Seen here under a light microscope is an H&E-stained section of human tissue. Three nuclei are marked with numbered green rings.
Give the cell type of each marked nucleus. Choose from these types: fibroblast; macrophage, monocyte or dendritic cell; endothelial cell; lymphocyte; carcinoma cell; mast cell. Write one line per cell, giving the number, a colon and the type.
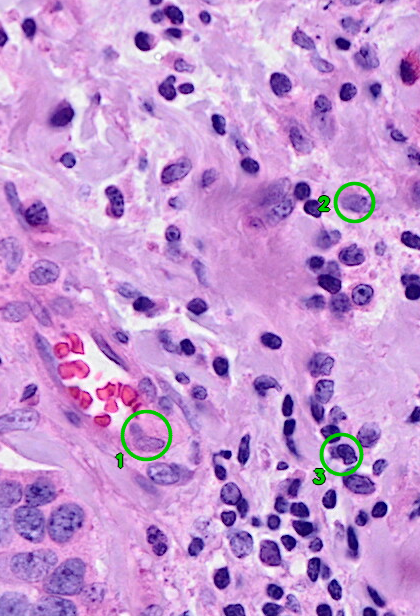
1: endothelial cell
2: macrophage, monocyte or dendritic cell
3: lymphocyte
